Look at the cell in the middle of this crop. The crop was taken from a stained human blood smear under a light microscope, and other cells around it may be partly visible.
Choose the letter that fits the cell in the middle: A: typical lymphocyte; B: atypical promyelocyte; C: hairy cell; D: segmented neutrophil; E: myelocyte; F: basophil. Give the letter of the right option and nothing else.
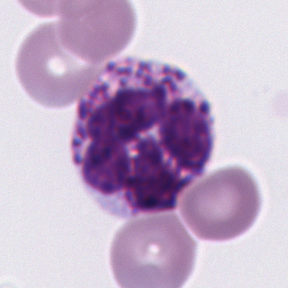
F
